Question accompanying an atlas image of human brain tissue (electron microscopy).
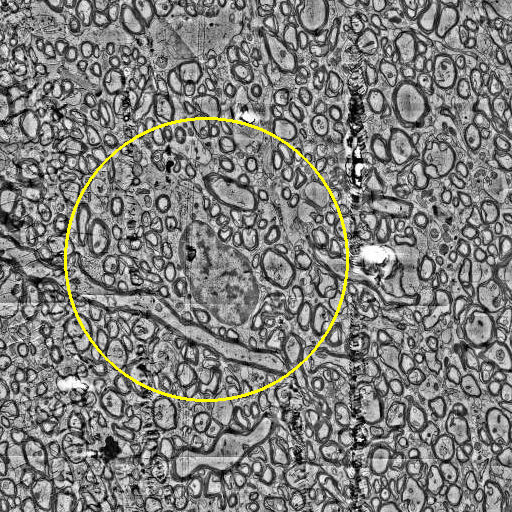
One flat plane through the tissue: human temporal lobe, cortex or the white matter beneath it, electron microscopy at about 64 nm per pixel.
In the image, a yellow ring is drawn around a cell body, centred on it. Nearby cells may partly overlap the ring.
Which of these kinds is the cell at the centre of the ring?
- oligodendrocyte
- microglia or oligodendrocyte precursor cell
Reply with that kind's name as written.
microglia or oligodendrocyte precursor cell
